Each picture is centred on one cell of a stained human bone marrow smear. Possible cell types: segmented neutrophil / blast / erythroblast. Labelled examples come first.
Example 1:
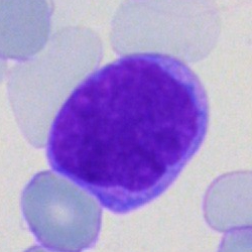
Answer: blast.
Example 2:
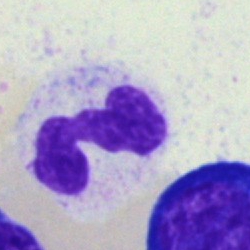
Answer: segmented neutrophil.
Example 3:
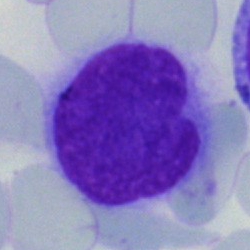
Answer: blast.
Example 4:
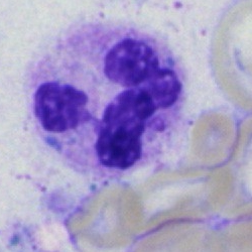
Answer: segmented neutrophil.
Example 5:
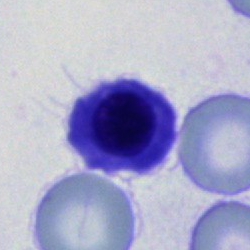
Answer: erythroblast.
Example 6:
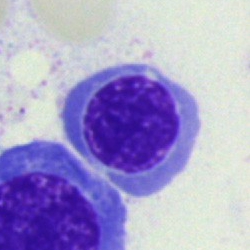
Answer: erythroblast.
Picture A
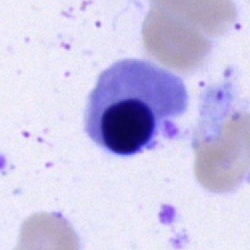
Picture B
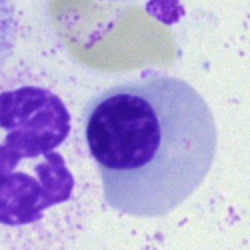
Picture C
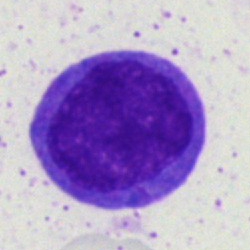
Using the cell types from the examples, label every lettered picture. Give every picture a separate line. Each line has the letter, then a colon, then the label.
A: erythroblast.
B: erythroblast.
C: blast.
